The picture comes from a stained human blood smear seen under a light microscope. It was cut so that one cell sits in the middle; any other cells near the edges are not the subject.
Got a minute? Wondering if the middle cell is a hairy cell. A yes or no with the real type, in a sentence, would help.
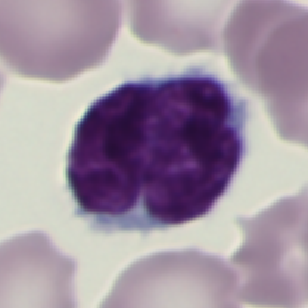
Yes, the cell at the centre of this crop is identified as a hairy cell.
